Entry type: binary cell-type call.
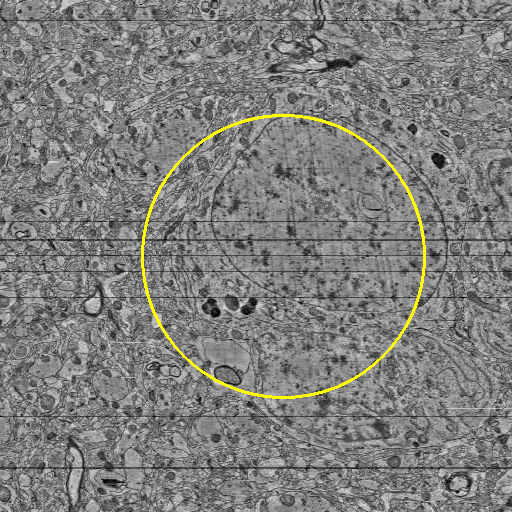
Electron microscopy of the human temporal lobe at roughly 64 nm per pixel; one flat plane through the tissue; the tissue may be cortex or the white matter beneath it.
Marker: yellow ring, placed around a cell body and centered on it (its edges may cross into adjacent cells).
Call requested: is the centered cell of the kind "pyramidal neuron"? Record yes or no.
yes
